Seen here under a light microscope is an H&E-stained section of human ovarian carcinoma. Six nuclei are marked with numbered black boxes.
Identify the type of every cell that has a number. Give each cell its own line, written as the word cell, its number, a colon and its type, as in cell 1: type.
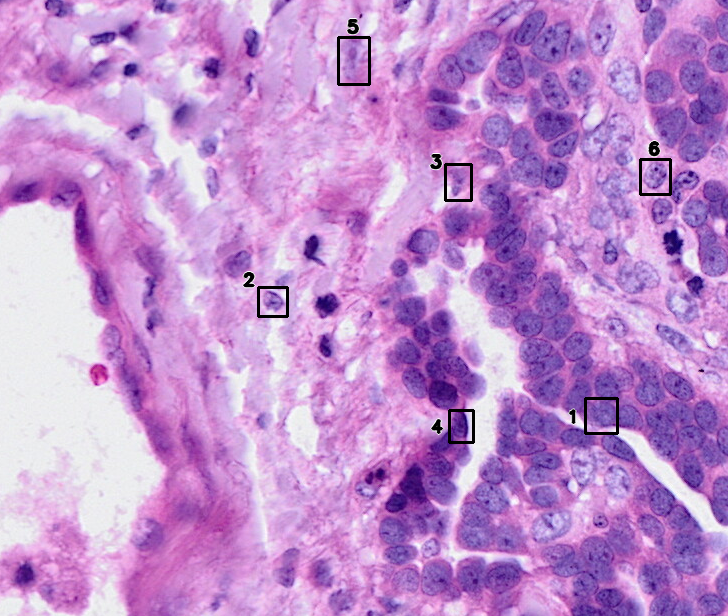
cell 1: carcinoma cell
cell 2: lymphocyte
cell 3: fibroblast
cell 4: carcinoma cell
cell 5: fibroblast
cell 6: macrophage or monocyte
